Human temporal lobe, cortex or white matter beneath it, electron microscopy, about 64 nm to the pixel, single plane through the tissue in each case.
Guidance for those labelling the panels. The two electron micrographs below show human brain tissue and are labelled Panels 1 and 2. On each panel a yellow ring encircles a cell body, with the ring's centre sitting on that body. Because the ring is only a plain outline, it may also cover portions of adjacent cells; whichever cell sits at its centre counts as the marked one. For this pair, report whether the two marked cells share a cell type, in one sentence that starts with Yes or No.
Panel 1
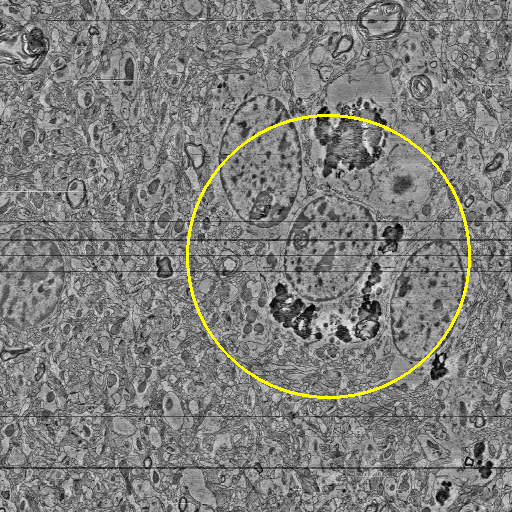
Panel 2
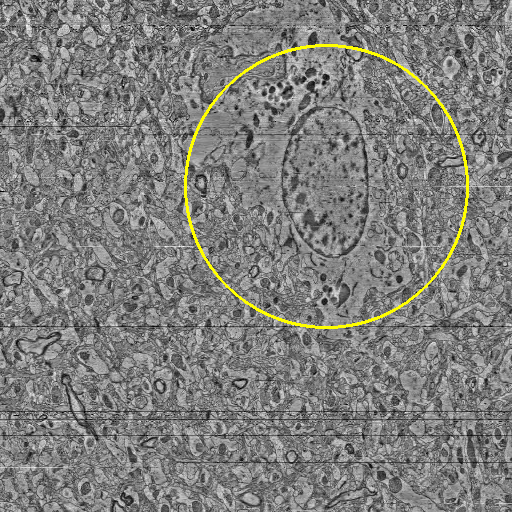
Yes, in Panel 1 and Panel 2 the marked cells at the ring centres share one type.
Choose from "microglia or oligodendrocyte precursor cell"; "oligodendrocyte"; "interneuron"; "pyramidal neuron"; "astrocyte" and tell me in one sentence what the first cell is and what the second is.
The cell in the first picture is an astrocyte, and so is the one in the second.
